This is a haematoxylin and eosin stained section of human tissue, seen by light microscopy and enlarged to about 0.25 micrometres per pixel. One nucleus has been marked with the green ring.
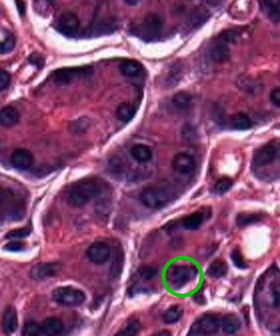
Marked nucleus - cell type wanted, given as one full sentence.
The marked nucleus sits within a pancreatic acinar cell.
